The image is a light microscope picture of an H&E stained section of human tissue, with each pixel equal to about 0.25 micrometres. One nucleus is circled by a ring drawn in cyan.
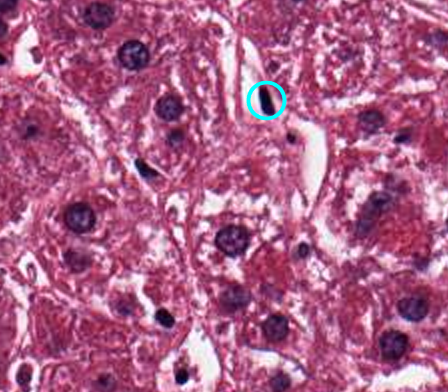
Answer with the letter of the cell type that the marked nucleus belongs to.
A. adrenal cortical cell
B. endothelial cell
B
